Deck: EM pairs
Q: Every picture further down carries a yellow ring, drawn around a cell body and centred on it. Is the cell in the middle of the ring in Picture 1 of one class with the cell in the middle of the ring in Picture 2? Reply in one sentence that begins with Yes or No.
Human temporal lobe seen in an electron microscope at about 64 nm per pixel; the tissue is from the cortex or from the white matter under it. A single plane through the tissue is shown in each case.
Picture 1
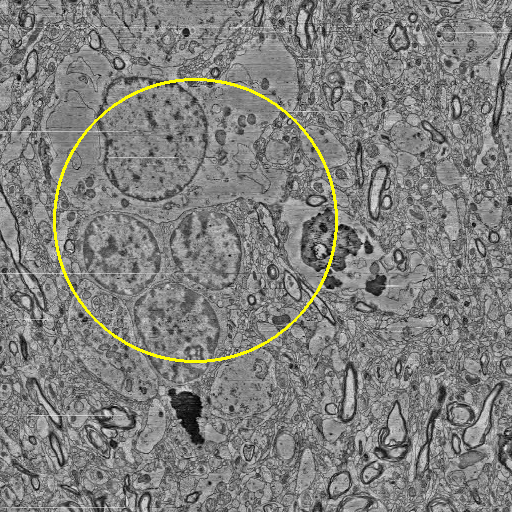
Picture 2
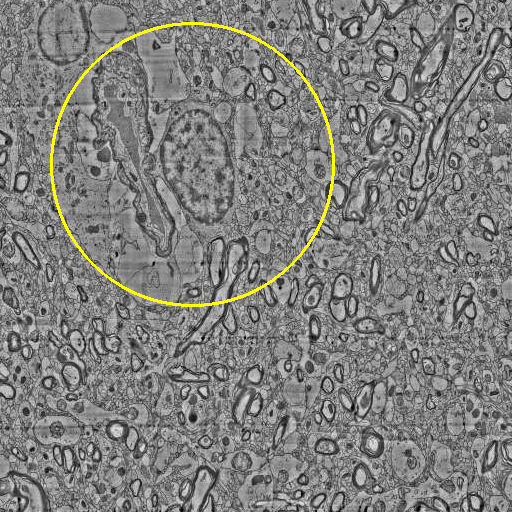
Yes, the cell centred in the ring of Picture 1 and the one in Picture 2 belong to one class.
